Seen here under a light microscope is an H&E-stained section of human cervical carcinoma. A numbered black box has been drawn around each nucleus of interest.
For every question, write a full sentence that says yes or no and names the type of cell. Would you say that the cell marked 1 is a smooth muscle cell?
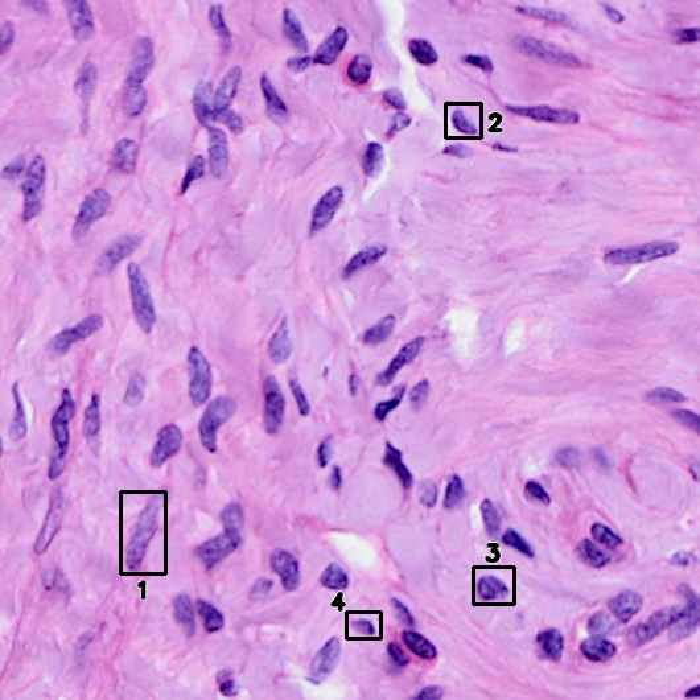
Yes, the cell tagged with the number 1 is a smooth muscle cell.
